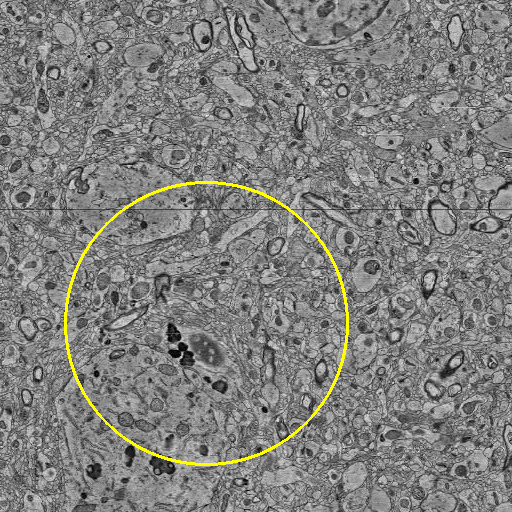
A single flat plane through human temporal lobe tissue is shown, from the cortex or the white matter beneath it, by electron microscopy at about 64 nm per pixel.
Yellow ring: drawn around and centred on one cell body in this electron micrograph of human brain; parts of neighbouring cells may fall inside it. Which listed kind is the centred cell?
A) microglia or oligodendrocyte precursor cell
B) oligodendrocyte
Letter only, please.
A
